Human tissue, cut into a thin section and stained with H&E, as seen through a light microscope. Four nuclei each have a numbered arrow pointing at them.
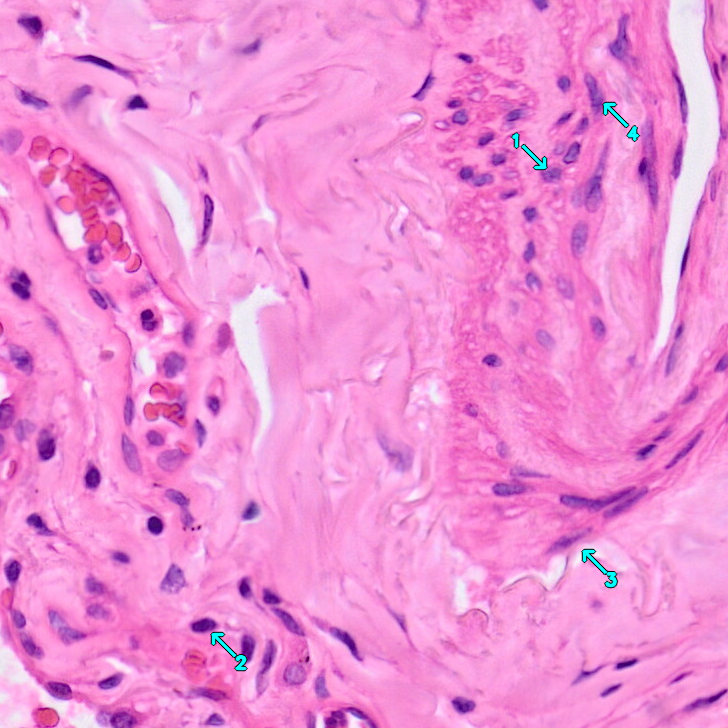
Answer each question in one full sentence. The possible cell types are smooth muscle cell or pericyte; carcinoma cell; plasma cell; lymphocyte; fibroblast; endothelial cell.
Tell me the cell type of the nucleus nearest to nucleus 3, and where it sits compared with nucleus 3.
Lying above nucleus 3, the nearest nucleus is that of a smooth muscle cell or pericyte.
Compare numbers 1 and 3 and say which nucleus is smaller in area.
The smaller nucleus is 1, and 3 covers roughly 1.5 times its area.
